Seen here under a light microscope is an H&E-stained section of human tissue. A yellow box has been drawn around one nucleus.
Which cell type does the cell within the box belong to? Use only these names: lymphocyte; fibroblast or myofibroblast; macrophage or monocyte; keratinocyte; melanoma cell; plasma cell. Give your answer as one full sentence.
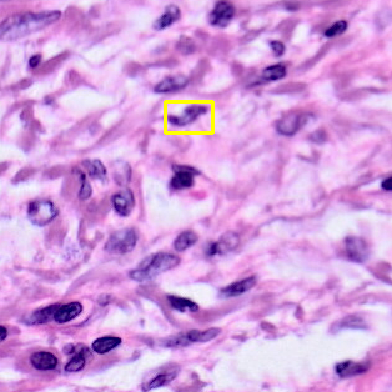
Students should answer that the cell within the box is a fibroblast or myofibroblast.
